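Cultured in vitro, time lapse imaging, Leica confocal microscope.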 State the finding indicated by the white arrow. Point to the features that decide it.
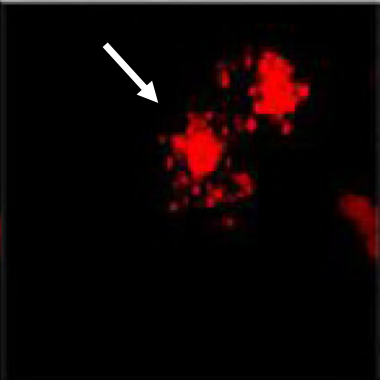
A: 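Two cells near the arrow are dissolved into clusters of small red granules. No smooth cell outline remains around these clusters. So: apoptosis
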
